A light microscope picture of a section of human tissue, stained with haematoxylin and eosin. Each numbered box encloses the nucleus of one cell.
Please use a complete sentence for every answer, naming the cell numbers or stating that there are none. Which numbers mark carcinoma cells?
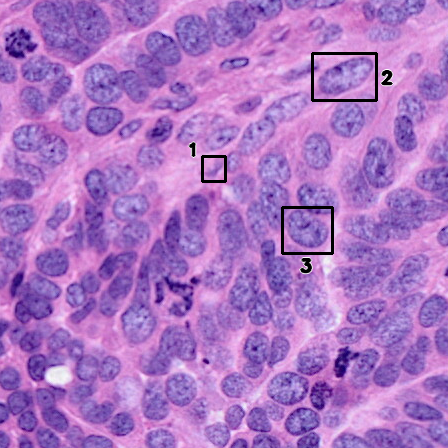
Of the cells carrying numbers, just cell 3 is a carcinoma cell.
